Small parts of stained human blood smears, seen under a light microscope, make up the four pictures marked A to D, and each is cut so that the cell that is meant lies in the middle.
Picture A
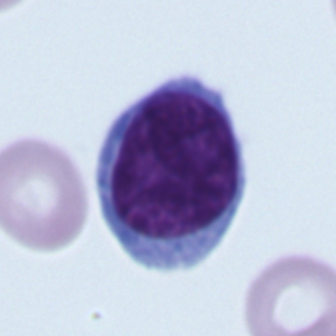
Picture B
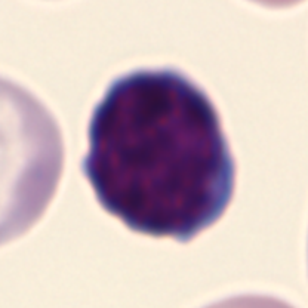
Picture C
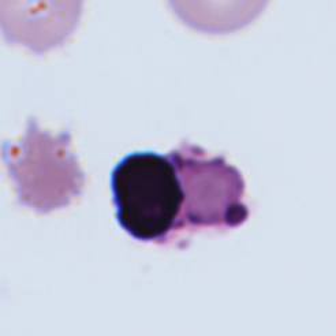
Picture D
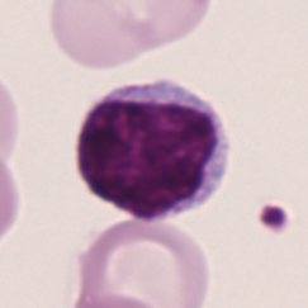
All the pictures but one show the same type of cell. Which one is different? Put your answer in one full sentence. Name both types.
All pictures except C show typical lymphocytes; picture C shows a normoblast.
